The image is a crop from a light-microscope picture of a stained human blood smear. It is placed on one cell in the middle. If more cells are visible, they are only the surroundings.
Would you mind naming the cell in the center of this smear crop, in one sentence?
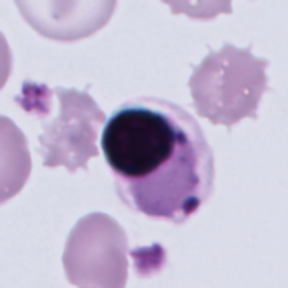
The cell at the centre of the field is a normoblast.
